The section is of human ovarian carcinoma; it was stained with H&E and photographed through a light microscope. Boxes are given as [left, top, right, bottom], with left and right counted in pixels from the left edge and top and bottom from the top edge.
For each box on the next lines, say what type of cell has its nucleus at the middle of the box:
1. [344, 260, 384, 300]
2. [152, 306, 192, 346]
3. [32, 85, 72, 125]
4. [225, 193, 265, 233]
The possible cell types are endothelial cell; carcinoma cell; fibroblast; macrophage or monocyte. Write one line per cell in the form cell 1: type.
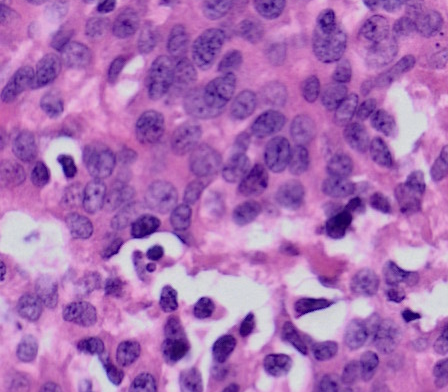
cell 1: carcinoma cell
cell 2: carcinoma cell
cell 3: macrophage or monocyte
cell 4: carcinoma cell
